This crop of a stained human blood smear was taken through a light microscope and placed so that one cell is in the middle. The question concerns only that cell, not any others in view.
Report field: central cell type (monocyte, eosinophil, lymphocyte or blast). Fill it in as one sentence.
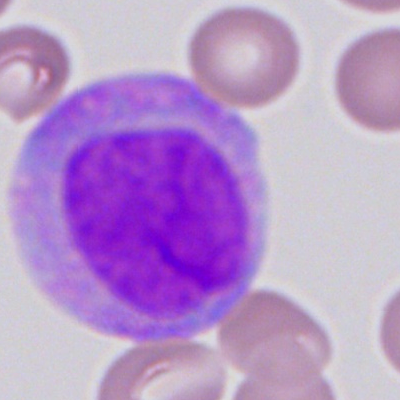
The cell at the heart of this crop is a monocyte.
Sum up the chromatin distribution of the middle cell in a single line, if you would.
The chromatin is fine throughout, without coarse clumps.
